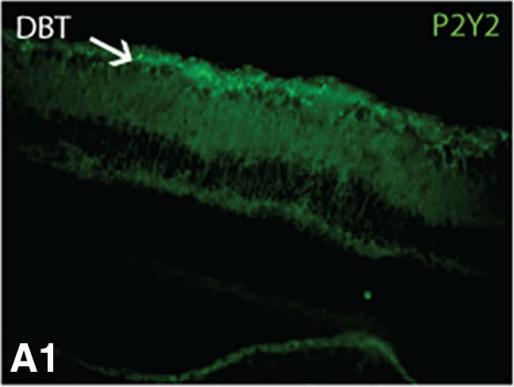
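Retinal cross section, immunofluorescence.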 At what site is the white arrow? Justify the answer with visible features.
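The arrow points to the innermost edge of the retina. A thin brighter green band lines this inner surface. That points to this answer: fiber layer.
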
